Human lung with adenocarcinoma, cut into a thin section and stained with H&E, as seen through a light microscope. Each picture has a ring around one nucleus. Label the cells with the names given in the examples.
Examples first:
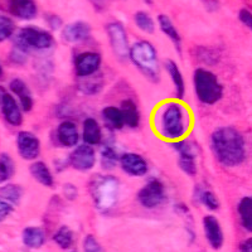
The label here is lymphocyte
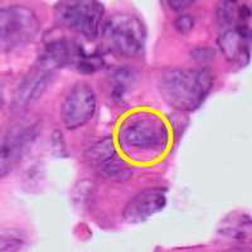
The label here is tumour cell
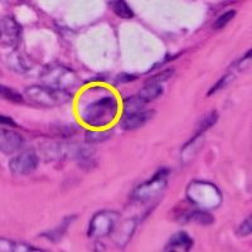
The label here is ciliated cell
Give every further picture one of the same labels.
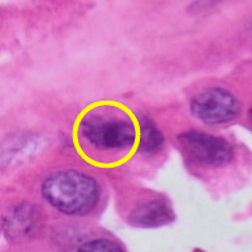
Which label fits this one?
tumour cell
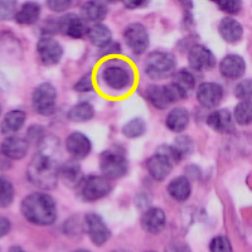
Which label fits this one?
lymphocyte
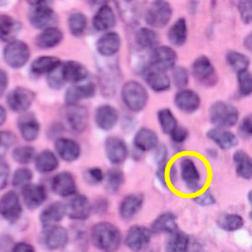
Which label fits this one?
lymphocyte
